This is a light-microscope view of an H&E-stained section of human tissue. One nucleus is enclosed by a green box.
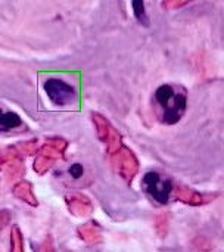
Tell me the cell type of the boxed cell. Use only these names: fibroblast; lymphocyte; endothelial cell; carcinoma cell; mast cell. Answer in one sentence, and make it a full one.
It is a fibroblast that the boxed cell represents.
